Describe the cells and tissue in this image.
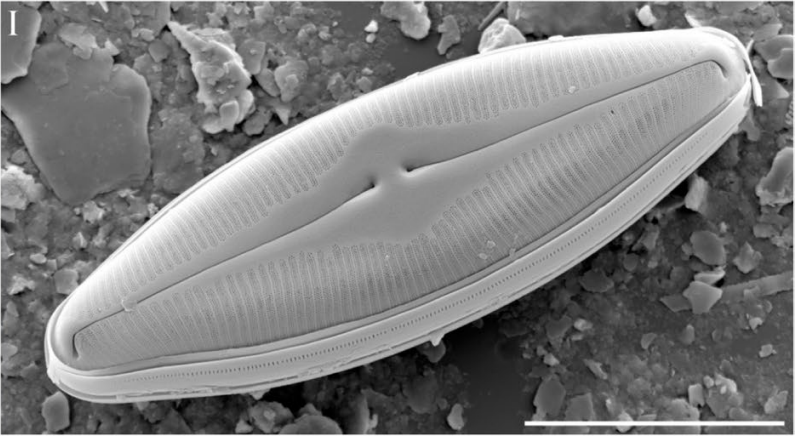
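This shows a whole diatom valve in external view, lanceolate with bluntly rounded ends. A long slit runs along the midline from end to end and is broken at the centre by a small nodule. Around the centre lies a smooth, widened area without striae. The rest of the valve face is crossed by fine, closely spaced parallel striae running towards the margins, and the rim of the cell wall is visible along the lower edge.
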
